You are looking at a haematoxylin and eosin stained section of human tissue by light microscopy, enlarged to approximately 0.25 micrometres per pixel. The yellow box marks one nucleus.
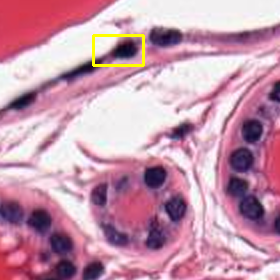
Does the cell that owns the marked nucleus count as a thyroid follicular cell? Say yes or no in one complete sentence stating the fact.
Yes, the marked nucleus is assigned to a thyroid follicular cell.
